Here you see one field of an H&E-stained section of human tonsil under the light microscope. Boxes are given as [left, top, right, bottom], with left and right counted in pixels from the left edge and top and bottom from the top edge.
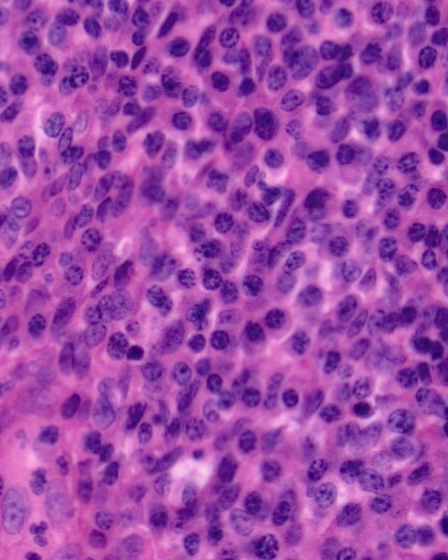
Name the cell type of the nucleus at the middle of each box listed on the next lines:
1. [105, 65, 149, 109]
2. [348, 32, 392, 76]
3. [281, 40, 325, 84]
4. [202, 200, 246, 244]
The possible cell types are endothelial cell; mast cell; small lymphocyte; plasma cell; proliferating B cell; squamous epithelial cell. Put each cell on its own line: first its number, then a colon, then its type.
1: plasma cell
2: plasma cell
3: squamous epithelial cell
4: plasma cell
